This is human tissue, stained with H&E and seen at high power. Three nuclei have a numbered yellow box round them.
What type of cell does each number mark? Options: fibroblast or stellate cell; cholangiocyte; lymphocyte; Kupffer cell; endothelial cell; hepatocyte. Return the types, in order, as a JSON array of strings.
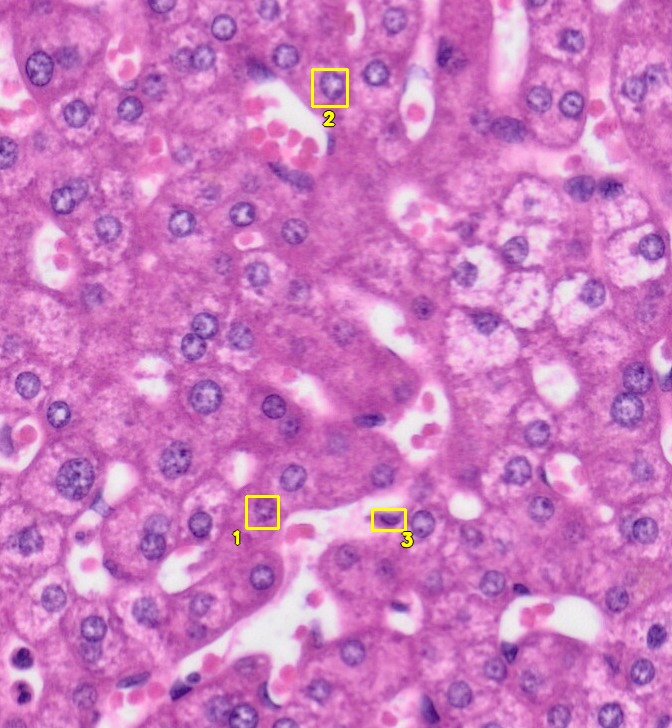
["hepatocyte", "hepatocyte", "Kupffer cell"]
